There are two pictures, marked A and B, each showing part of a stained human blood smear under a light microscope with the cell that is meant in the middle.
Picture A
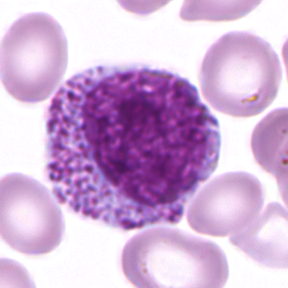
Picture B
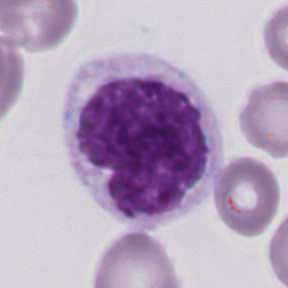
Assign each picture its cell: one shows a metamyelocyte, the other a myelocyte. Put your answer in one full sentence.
Picture B shows a metamyelocyte, while picture A shows a myelocyte.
